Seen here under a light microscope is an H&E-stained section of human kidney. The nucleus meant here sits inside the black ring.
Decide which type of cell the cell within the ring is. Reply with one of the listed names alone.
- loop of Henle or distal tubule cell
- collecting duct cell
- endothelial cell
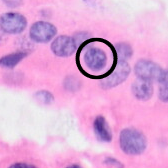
collecting duct cell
